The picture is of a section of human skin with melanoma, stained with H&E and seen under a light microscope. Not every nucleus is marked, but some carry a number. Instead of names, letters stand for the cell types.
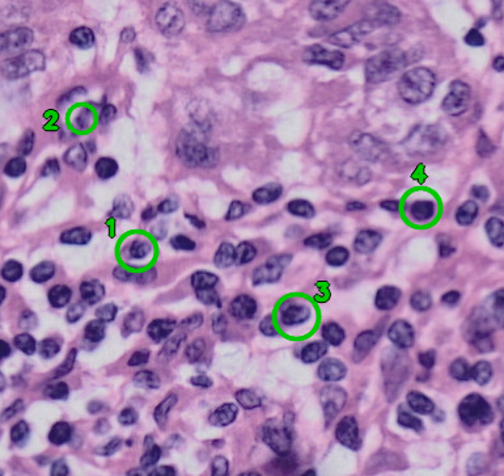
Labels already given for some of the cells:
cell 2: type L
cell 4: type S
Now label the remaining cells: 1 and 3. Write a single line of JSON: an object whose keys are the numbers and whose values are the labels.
{"1": "type S", "3": "type S"}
